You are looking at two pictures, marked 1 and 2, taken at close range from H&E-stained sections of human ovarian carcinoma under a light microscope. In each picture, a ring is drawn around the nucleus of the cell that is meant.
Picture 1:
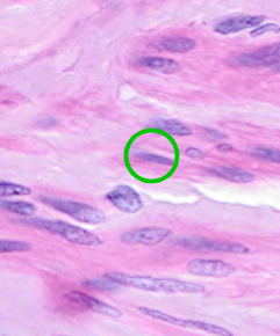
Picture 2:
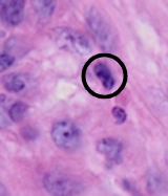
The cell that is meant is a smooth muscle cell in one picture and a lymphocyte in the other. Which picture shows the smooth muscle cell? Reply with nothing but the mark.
1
